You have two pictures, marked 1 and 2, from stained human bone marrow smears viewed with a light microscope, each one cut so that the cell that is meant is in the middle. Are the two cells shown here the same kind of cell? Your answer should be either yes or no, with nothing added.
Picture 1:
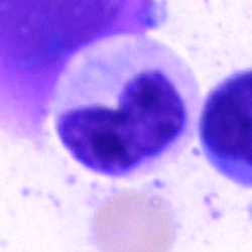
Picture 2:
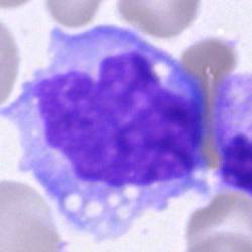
no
